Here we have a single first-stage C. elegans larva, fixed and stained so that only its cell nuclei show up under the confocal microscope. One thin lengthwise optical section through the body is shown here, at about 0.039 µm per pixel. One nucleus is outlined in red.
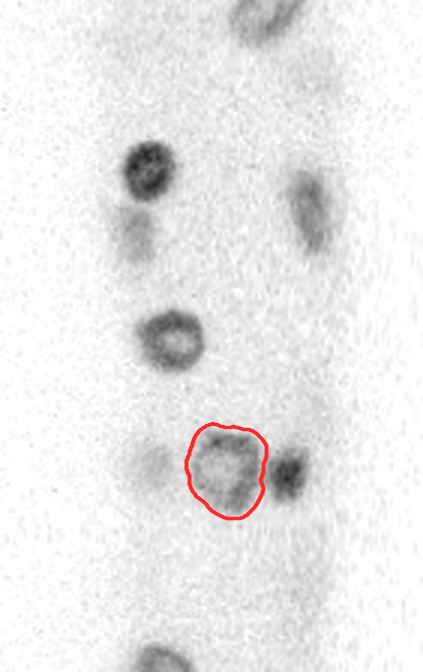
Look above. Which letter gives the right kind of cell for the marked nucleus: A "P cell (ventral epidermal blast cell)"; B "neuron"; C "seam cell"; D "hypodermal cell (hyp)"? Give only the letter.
D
